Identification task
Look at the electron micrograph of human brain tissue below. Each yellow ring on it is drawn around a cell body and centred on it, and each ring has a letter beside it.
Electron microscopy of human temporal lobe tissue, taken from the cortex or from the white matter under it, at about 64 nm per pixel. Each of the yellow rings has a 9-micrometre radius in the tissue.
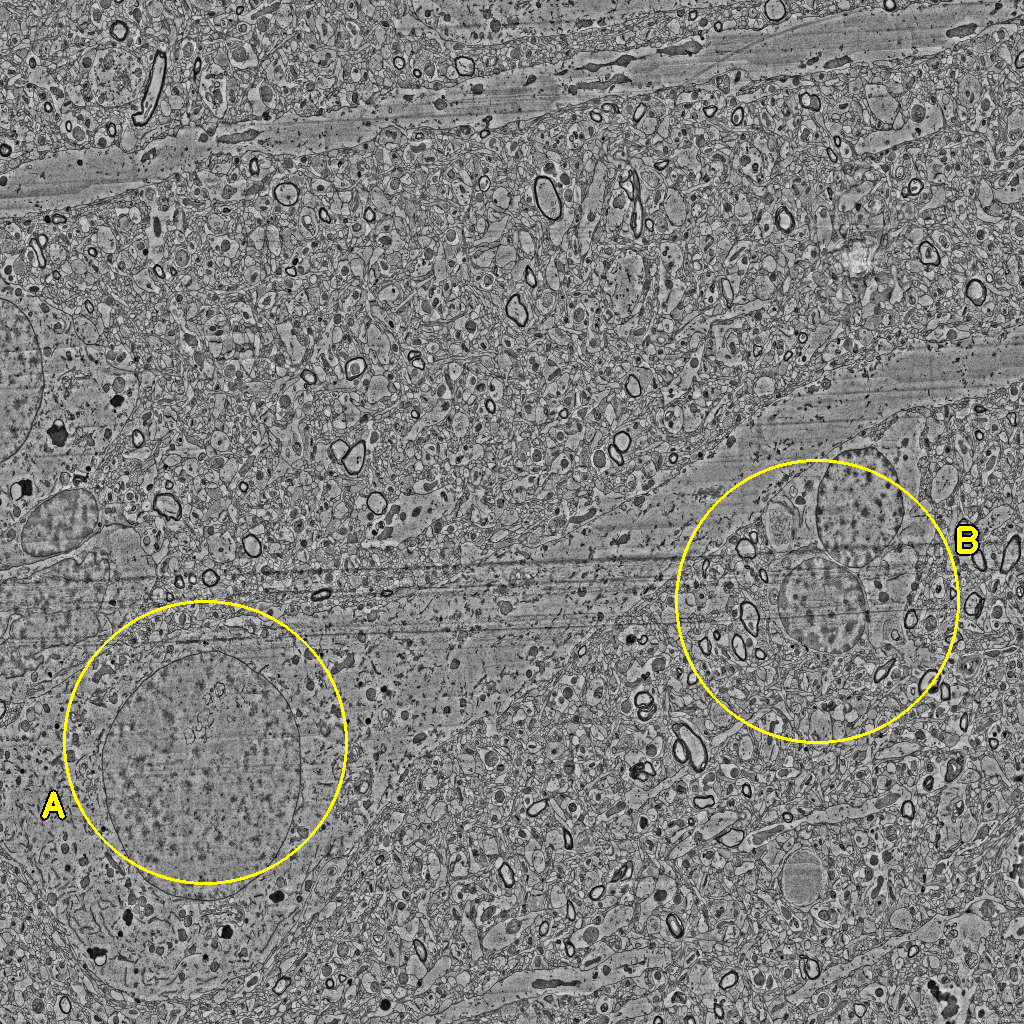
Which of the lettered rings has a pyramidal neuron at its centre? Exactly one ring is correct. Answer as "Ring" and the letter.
Ring A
